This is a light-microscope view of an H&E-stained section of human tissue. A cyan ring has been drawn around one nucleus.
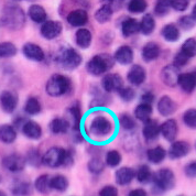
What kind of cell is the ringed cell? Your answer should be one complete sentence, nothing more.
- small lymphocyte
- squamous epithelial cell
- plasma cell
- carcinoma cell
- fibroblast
Recorded by type, the ringed cell is a small lymphocyte.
